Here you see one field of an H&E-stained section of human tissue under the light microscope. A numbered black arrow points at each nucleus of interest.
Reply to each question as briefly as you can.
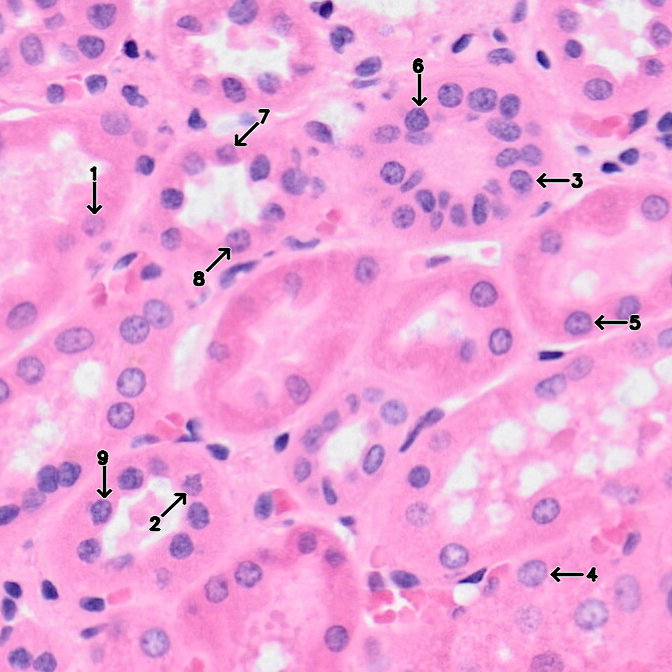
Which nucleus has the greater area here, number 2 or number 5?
5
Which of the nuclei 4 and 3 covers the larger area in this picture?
4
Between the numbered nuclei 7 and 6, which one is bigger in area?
6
